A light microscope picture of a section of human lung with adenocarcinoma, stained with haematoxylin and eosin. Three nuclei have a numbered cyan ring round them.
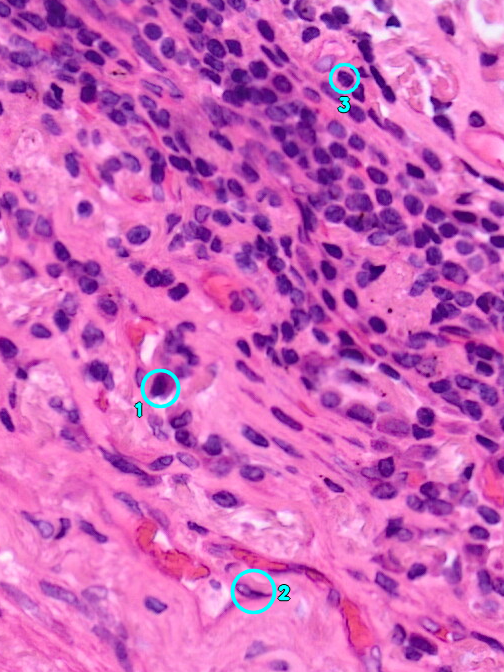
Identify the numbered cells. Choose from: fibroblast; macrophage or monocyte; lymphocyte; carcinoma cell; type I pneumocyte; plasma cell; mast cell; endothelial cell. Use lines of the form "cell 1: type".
cell 1: plasma cell
cell 2: endothelial cell
cell 3: lymphocyte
